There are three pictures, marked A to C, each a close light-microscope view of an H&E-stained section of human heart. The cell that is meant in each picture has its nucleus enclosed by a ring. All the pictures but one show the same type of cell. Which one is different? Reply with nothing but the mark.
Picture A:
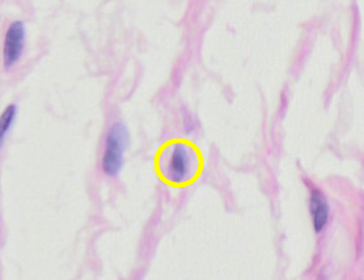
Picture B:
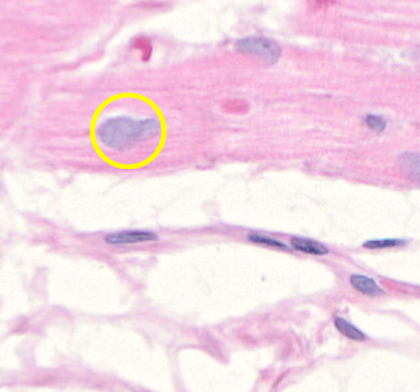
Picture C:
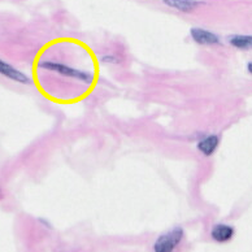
B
